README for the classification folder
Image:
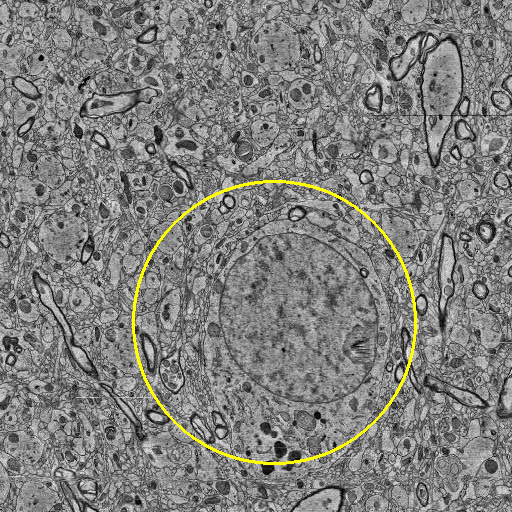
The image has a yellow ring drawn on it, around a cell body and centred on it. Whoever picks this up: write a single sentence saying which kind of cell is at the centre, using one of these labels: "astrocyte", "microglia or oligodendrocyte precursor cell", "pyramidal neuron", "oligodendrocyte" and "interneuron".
This cell body is that of a pyramidal neuron.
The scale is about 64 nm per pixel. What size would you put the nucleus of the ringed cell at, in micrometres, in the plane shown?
In this plane the nucleus spans approximately 12 by 10 micrometers.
